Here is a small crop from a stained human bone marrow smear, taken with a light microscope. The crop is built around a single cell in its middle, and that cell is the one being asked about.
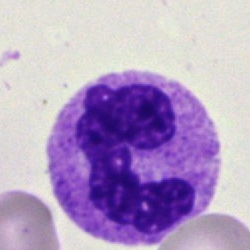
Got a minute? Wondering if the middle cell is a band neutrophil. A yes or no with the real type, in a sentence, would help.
No, the correct answer for the middle cell is a segmented neutrophil, not a band neutrophil.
